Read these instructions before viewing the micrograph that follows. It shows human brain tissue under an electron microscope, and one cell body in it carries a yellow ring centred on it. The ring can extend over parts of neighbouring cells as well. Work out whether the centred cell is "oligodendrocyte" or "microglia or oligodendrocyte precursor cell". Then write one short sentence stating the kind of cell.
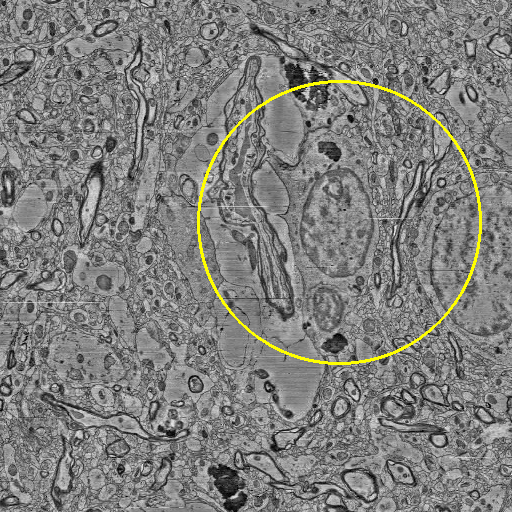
The ringed cell is an oligodendrocyte.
